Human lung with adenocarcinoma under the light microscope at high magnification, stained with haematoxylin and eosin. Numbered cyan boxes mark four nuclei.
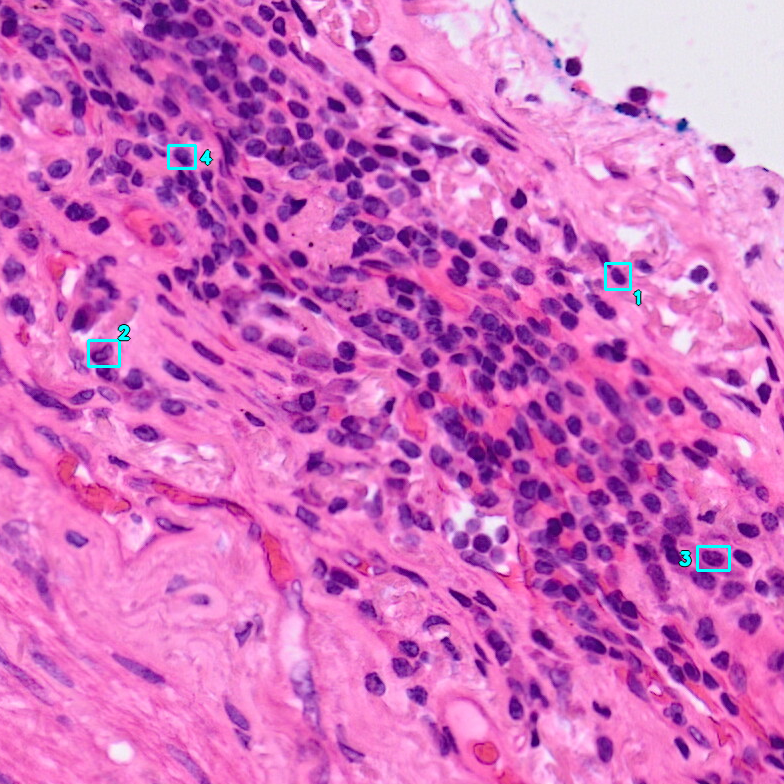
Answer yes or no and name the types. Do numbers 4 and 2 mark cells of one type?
No, cell 4 counts as a lymphocyte, and cell 2 counts as a plasma cell.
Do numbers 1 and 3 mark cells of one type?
No, unlike cell 1, which is a lymphocyte, cell 3 is a plasma cell.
